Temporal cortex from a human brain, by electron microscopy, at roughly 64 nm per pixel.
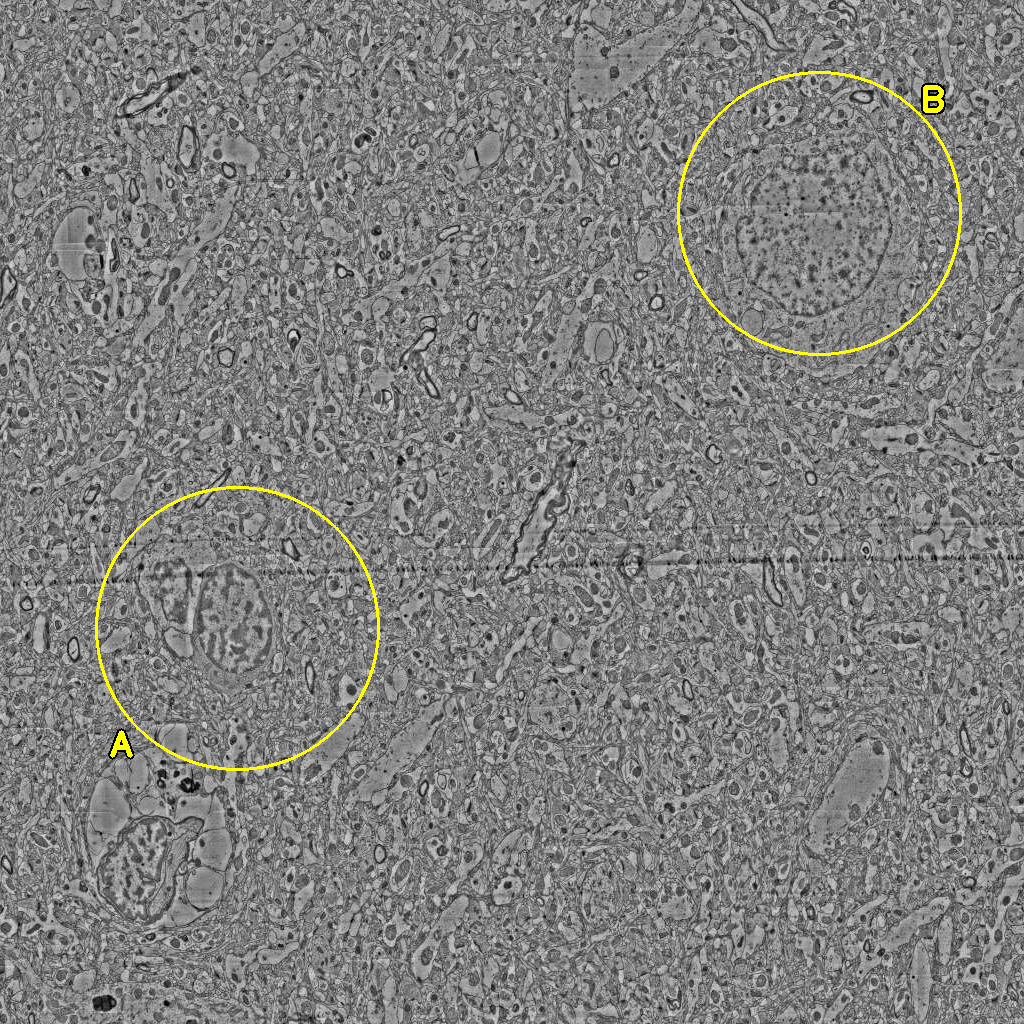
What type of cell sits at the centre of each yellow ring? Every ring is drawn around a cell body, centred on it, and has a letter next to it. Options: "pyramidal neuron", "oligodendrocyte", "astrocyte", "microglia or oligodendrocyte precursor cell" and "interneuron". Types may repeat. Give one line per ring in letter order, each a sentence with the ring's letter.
Ring A has an oligodendrocyte at its centre.
Ring B has an interneuron at its centre.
